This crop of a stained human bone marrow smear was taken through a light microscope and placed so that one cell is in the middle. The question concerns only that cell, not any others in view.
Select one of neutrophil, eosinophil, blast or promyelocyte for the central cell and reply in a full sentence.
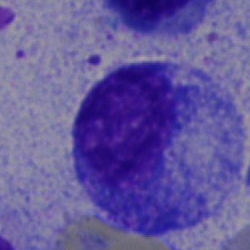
What the crop centres on is a promyelocyte.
